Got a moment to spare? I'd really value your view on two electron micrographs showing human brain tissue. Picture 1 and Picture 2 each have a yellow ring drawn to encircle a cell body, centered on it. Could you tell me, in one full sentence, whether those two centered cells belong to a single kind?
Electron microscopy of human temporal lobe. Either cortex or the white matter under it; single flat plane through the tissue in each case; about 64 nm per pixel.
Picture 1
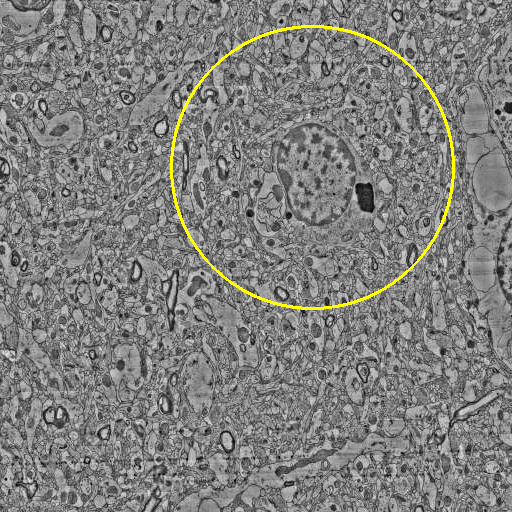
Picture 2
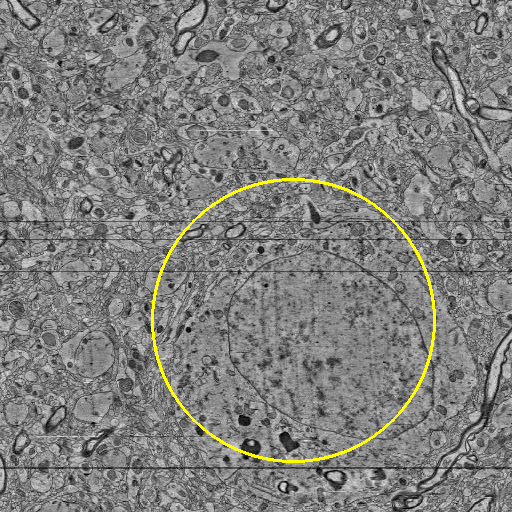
No, the two centered cells in Picture 1 and Picture 2 are of two kinds.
